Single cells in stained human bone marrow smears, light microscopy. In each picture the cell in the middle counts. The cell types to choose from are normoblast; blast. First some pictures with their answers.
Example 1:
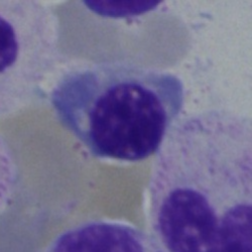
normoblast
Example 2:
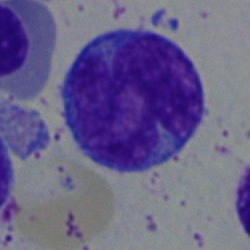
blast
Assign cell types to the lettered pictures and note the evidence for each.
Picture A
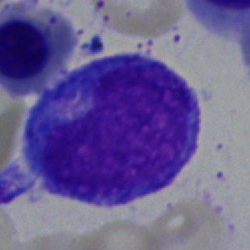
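Answer: blast. The chromatin is finely stippled rather than gathered into coarse dark clumps.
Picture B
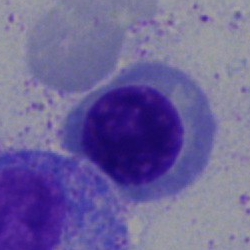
Answer: normoblast. The chromatin is dark purple and coarsely clumped, with small paler patches between the clumps.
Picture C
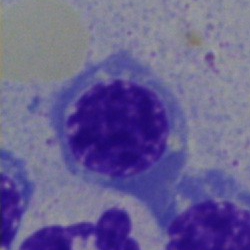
Answer: normoblast. The chromatin is coarsely clumped and dark purple.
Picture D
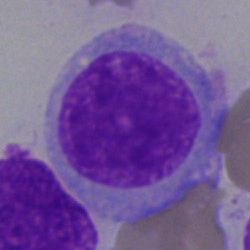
Answer: blast. The chromatin is finely stippled with only small darker patches rather than coarse blocks.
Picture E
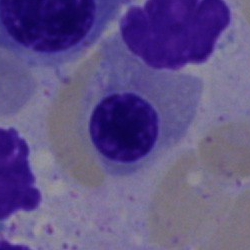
Answer: normoblast. The chromatin is dark purple and coarsely clumped.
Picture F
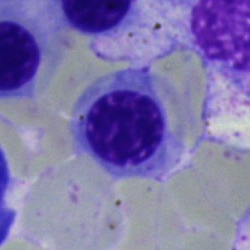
Answer: normoblast. The chromatin is dark purple and coarsely clumped.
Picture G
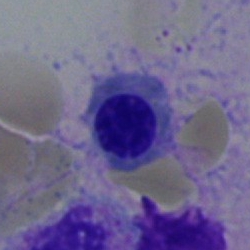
Answer: normoblast. The chromatin is dense and dark purple with coarse clumps.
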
